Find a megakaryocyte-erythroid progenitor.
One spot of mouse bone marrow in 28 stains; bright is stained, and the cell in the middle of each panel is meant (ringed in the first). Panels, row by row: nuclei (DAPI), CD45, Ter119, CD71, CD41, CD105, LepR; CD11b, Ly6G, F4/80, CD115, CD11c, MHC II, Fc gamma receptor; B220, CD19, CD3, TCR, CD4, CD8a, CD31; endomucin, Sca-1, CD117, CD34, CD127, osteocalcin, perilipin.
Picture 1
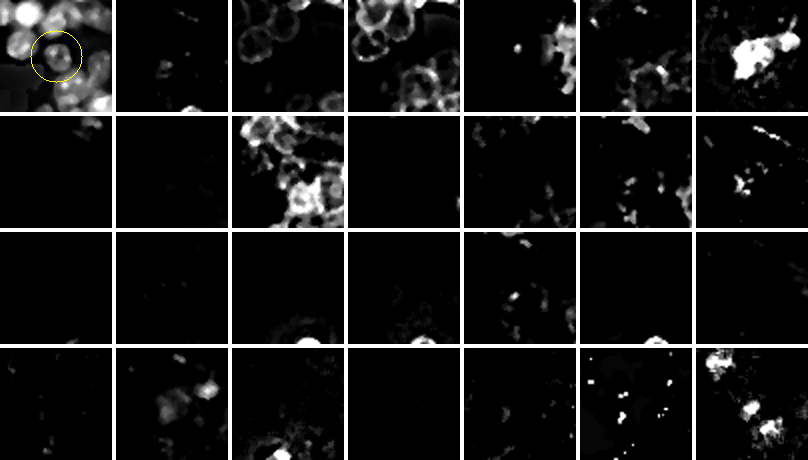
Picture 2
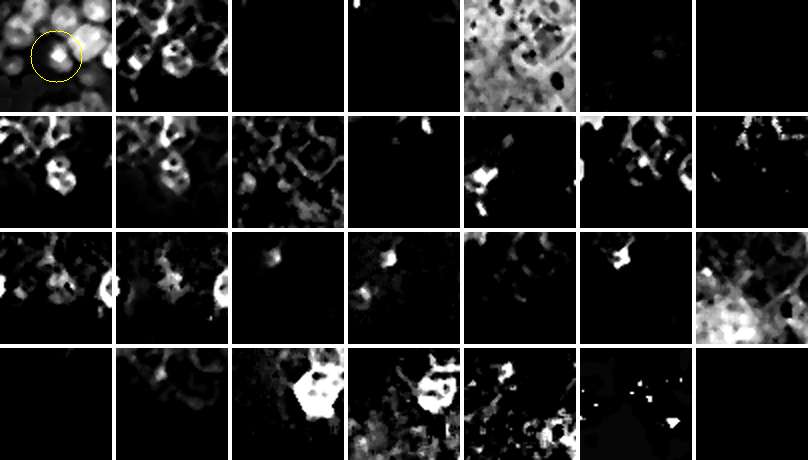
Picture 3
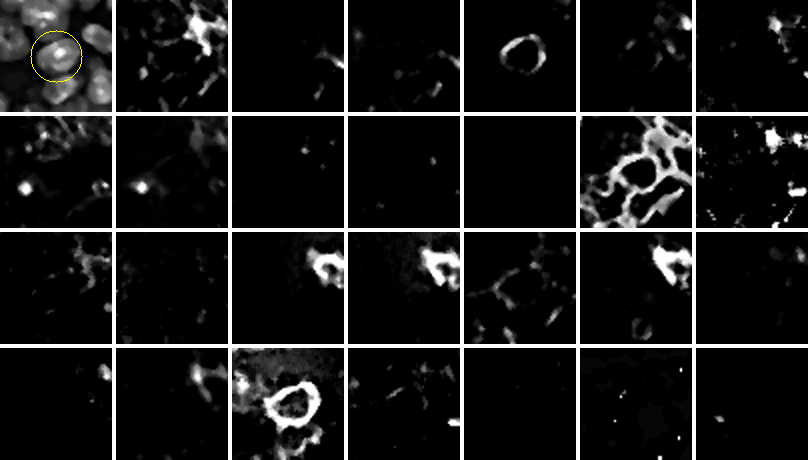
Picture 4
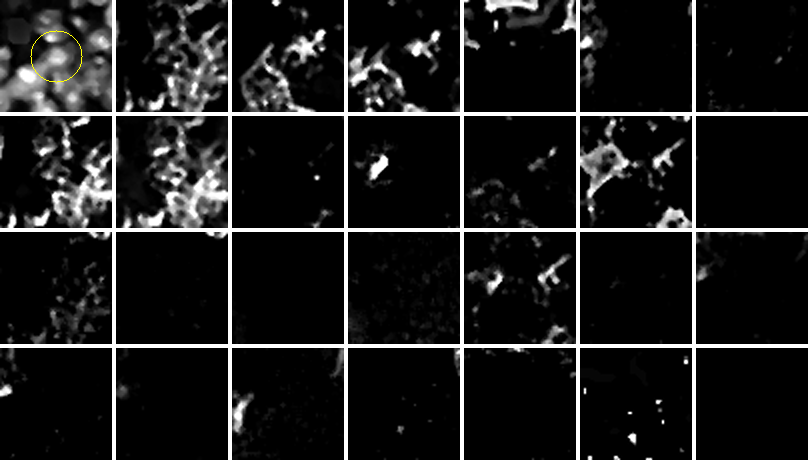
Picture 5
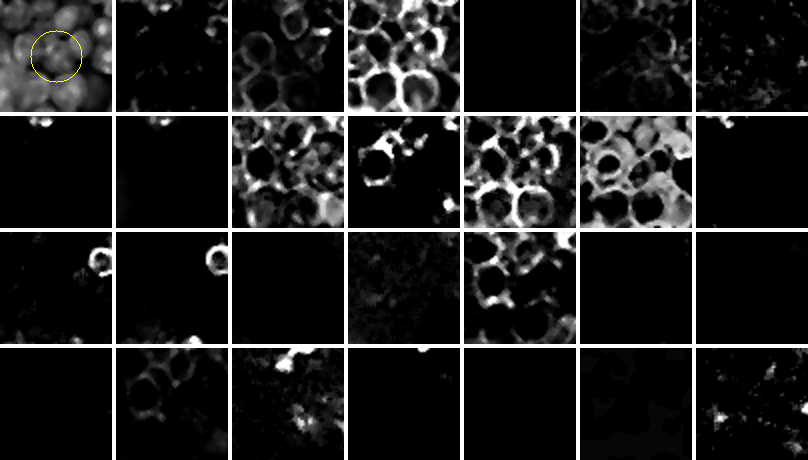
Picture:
3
